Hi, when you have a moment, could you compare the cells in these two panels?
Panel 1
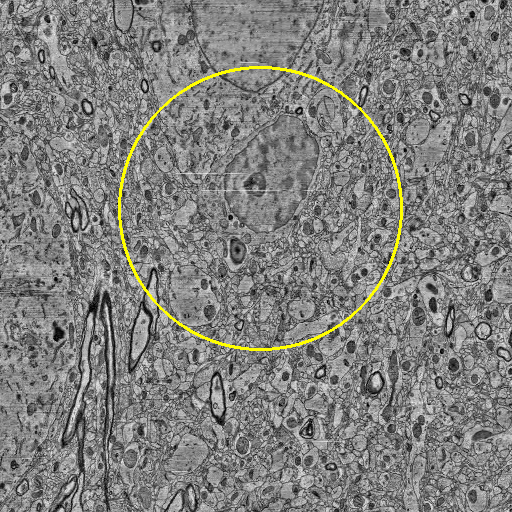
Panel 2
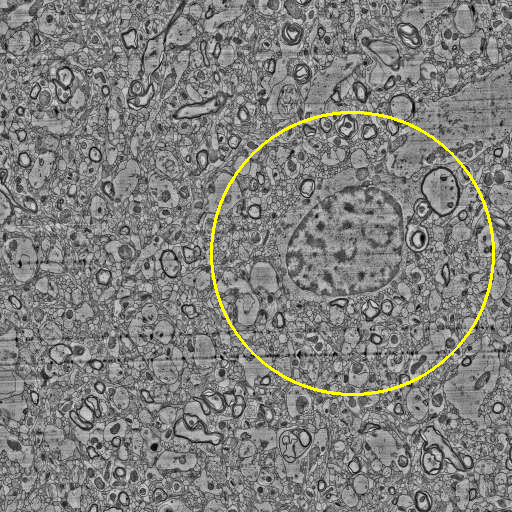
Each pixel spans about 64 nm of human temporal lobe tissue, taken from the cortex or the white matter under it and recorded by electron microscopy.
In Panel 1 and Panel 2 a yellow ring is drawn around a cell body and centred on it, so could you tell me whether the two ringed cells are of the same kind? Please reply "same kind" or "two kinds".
same kind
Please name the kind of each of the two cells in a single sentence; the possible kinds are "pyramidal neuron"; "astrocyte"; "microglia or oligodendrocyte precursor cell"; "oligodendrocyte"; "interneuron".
In both pictures the ring is centred on an oligodendrocyte.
